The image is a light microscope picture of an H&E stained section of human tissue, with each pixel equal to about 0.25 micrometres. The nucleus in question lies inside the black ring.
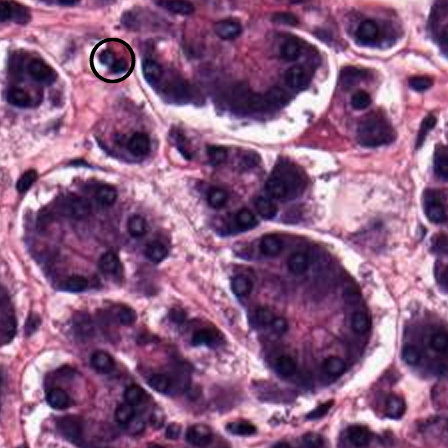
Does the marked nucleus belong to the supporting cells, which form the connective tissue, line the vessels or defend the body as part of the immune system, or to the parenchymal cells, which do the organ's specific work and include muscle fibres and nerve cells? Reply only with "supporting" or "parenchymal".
supporting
